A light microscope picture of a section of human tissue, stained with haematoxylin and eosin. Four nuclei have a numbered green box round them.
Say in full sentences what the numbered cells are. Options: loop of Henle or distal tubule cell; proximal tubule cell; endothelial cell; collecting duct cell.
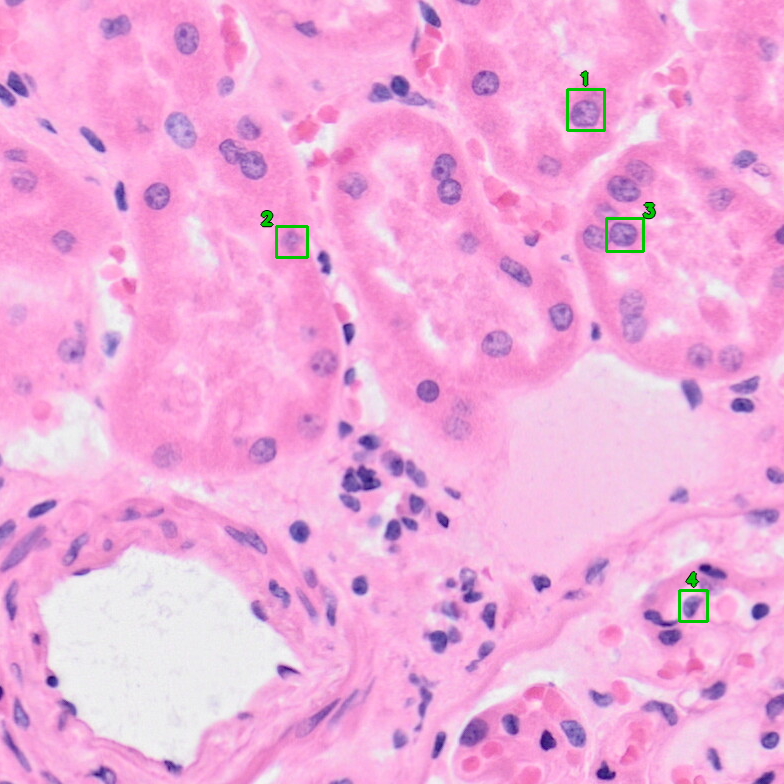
Cell 1 is a proximal tubule cell, cell 2 is a proximal tubule cell, cell 3 is a proximal tubule cell and cell 4 is an endothelial cell.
